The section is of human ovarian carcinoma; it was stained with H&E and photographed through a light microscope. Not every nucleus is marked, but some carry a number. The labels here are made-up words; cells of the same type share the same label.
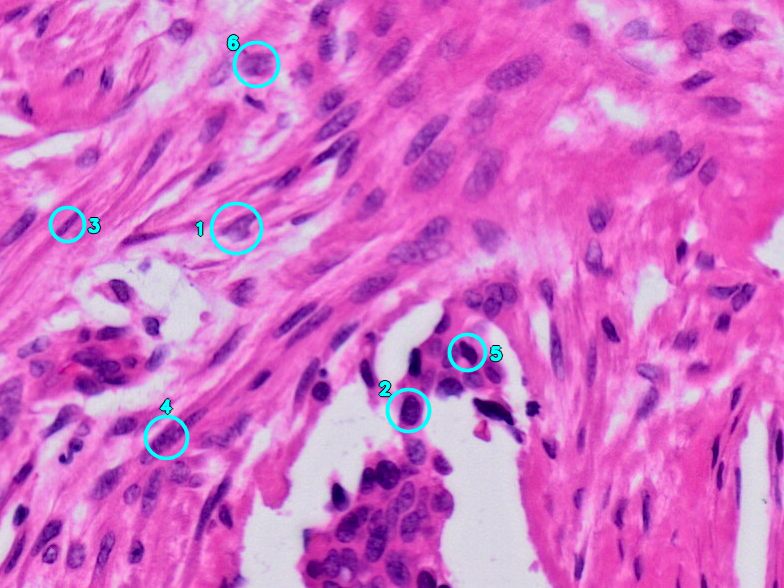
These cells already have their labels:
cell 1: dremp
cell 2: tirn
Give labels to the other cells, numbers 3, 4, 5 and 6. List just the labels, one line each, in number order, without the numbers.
dremp
dremp
tirn
dremp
